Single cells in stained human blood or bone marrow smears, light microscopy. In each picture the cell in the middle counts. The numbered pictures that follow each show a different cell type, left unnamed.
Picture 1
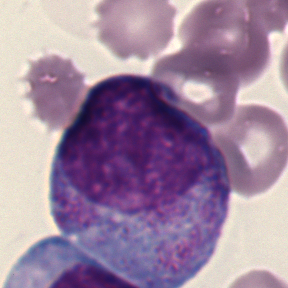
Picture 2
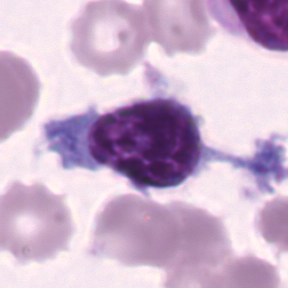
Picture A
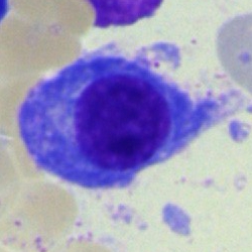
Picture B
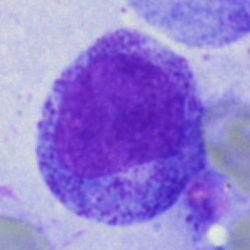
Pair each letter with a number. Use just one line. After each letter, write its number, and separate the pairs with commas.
A 2, B 1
